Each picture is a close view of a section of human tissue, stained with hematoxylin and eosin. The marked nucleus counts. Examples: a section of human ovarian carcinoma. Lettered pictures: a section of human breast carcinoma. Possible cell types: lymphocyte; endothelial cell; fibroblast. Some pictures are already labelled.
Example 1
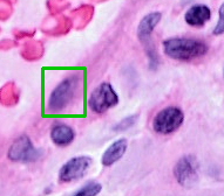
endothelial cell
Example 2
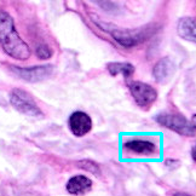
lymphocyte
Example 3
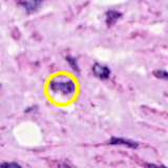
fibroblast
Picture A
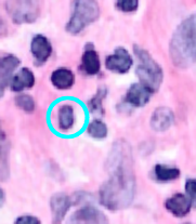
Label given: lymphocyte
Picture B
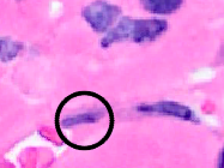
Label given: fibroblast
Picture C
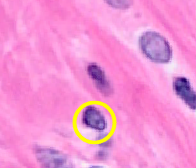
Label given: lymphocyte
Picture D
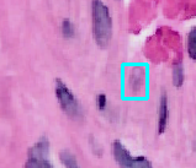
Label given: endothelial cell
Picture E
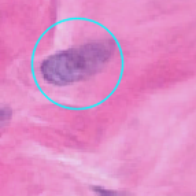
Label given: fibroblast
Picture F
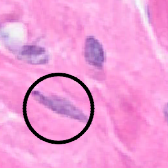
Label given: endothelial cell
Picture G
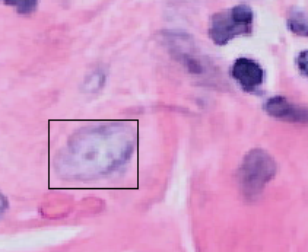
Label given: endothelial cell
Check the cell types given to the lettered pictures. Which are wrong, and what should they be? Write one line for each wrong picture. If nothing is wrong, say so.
B is labelled fibroblast; correct label: endothelial cell
F is labelled endothelial cell; correct label: fibroblast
